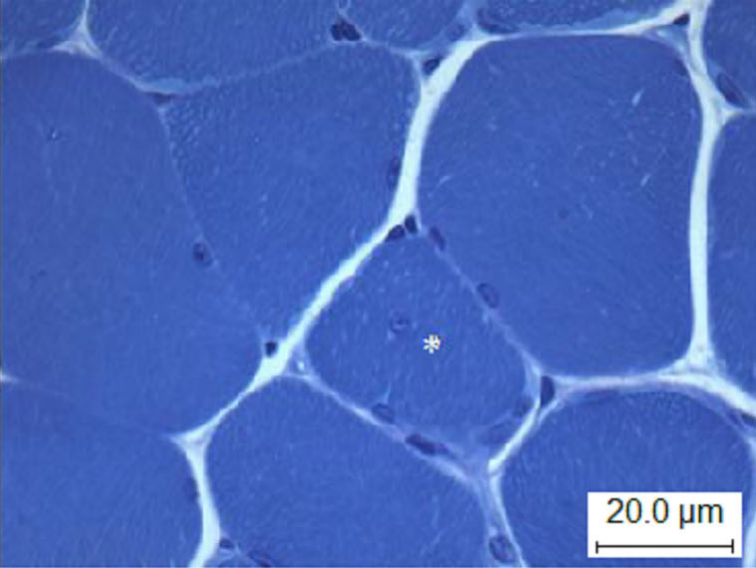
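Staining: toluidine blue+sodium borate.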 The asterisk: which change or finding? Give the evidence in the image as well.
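The fiber marked by the asterisk has a dark nucleus lying inside the fiber, away from its edge. Most other nuclei lie flattened at the fiber borders.
Hence: Nuclei displacement towards the interior of the muscle fiber.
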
